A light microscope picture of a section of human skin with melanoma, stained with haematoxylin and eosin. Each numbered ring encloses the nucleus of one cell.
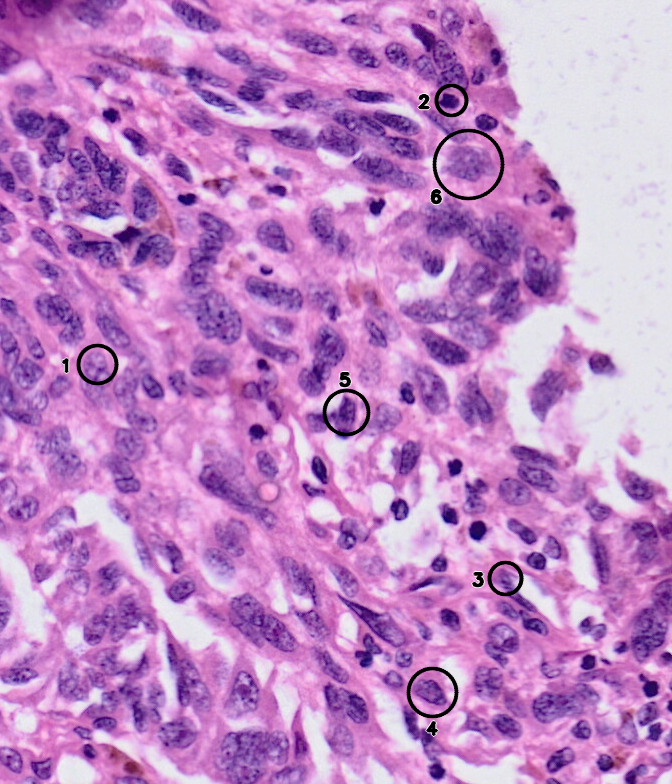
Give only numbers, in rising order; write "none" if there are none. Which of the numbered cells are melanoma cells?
1, 4, 5, 6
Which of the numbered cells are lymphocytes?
2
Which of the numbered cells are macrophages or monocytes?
none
